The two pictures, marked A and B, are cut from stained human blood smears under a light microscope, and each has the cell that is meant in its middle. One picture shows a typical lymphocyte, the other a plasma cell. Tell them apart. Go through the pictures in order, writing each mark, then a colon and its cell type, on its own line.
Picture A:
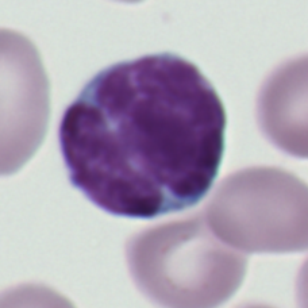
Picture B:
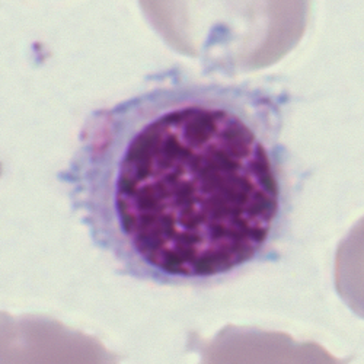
A: typical lymphocyte
B: plasma cell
